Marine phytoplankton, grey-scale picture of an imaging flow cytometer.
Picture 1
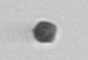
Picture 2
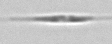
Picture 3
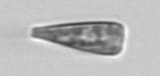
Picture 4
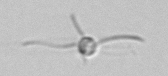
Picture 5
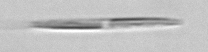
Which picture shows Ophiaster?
Picture 4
